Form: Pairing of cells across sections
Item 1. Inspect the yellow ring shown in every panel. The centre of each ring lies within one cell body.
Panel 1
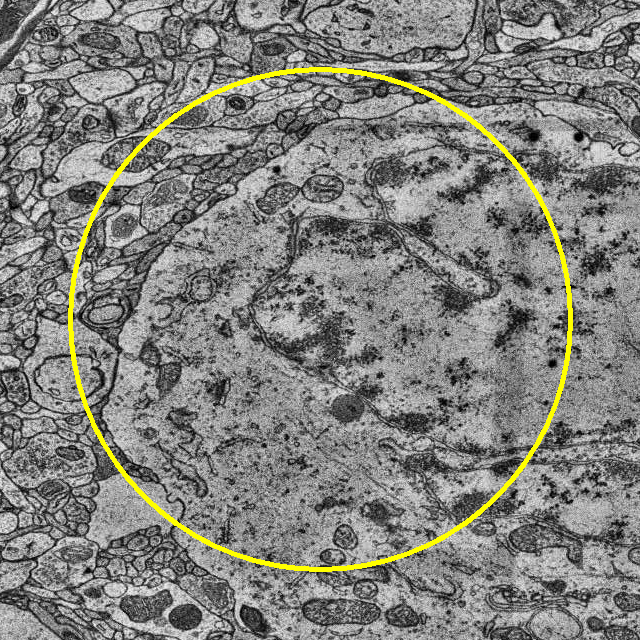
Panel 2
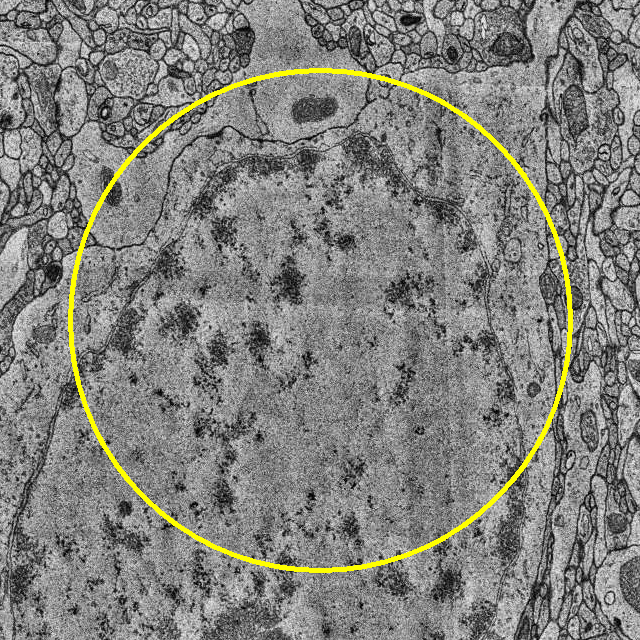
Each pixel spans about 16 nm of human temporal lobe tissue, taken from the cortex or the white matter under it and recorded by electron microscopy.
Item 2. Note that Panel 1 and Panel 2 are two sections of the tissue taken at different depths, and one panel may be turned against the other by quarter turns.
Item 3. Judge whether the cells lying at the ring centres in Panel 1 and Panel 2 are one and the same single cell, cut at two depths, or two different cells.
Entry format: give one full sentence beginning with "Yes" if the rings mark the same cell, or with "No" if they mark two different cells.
Yes, one cell is ringed in yellow twice over.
